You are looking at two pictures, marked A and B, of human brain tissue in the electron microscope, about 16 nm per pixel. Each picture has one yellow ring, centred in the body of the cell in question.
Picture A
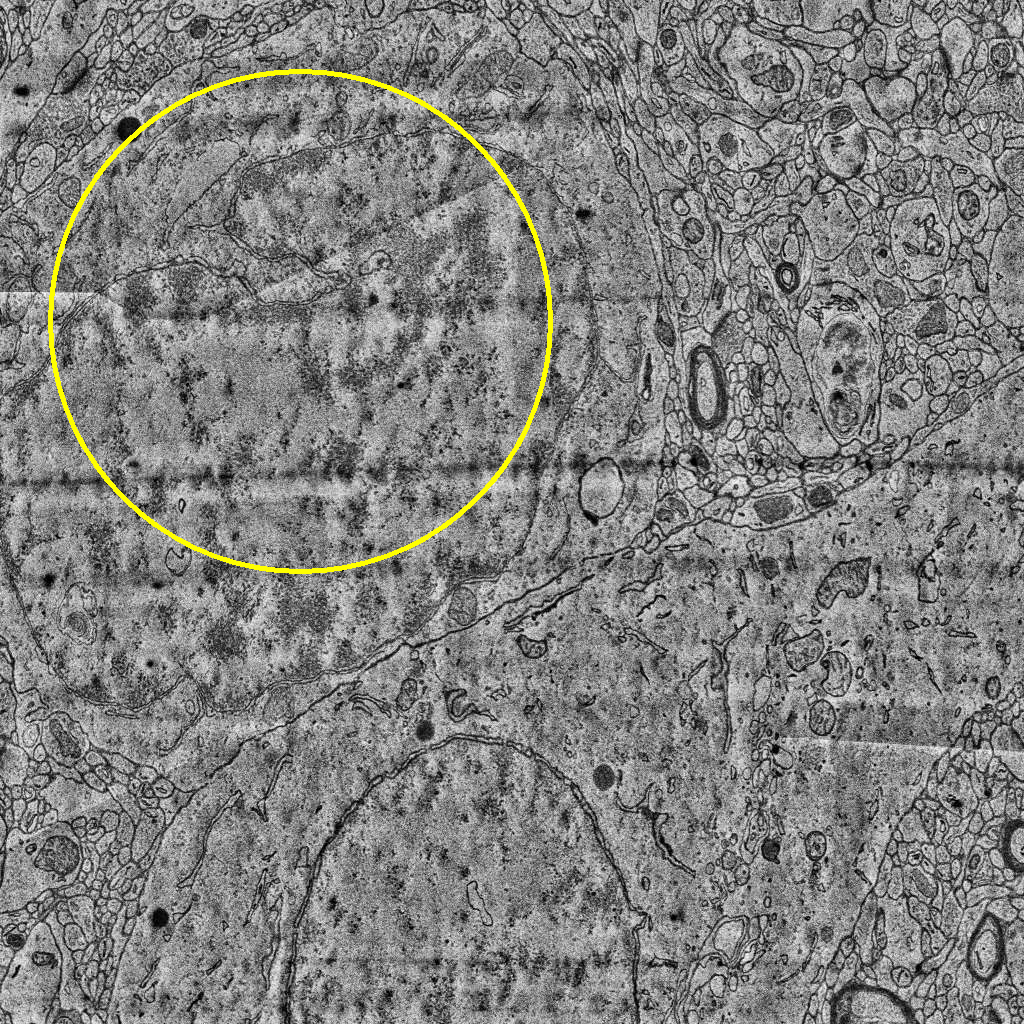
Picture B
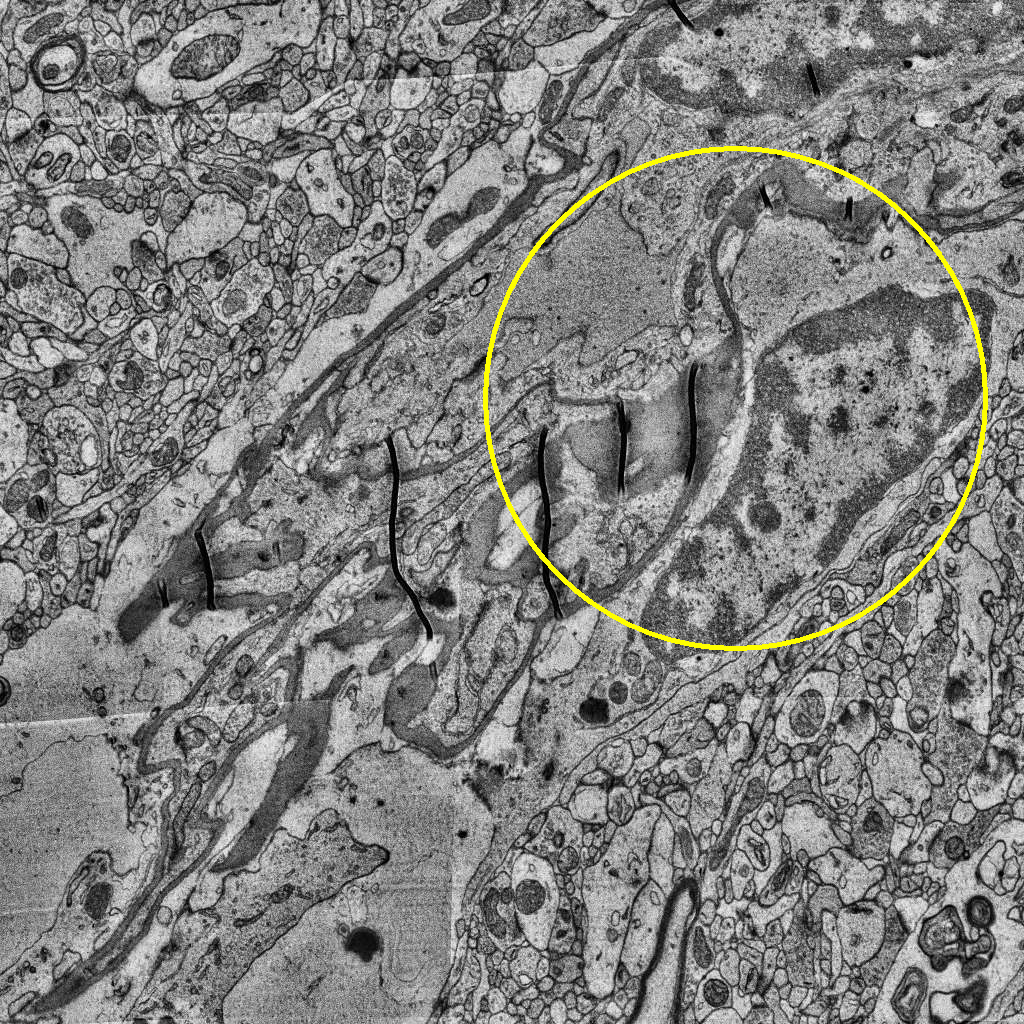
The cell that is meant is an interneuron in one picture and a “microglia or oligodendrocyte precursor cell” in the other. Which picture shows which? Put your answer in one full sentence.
Picture A shows an interneuron and picture B shows a “microglia or oligodendrocyte precursor cell”.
